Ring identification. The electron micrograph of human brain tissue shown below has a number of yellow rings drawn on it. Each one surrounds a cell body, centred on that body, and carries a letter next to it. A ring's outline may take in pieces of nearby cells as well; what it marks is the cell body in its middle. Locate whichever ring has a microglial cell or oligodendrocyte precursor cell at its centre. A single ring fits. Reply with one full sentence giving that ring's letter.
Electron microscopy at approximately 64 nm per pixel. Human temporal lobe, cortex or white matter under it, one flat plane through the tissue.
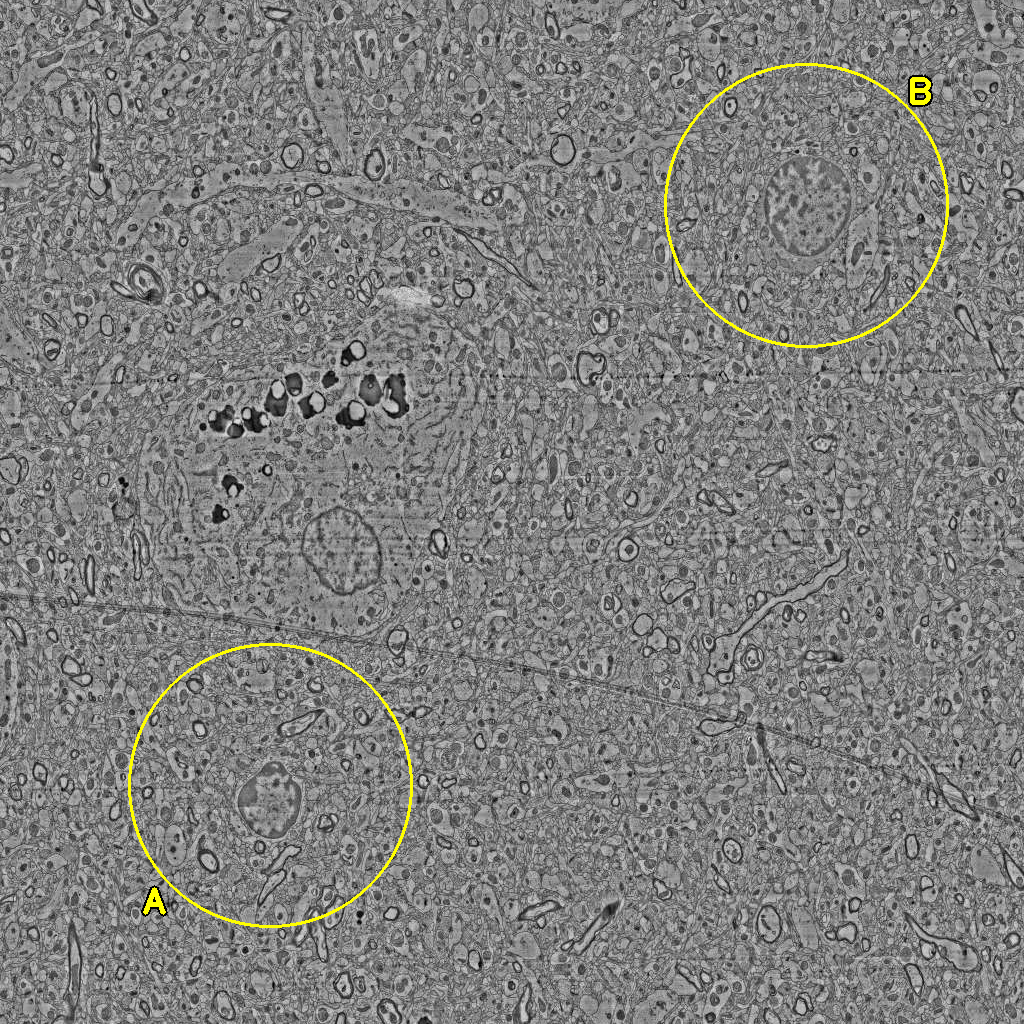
The letter A belongs to the ring centred on a cell of that kind.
